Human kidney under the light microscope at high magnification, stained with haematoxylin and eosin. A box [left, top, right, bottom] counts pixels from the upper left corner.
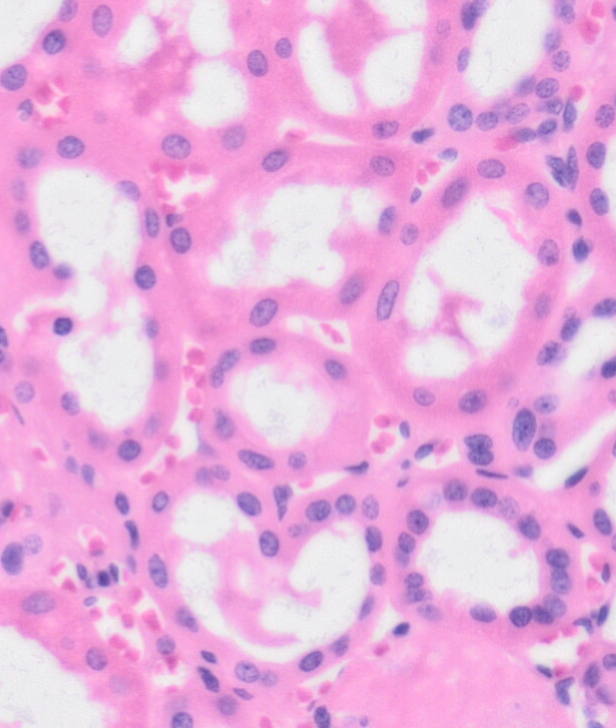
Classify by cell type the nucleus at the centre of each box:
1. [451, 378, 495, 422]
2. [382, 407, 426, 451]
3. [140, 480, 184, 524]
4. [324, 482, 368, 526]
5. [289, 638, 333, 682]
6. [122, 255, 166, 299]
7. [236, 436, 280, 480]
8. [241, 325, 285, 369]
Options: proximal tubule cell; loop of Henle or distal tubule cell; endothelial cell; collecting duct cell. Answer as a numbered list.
1. proximal tubule cell
2. endothelial cell
3. collecting duct cell
4. collecting duct cell
5. collecting duct cell
6. loop of Henle or distal tubule cell
7. collecting duct cell
8. collecting duct cell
